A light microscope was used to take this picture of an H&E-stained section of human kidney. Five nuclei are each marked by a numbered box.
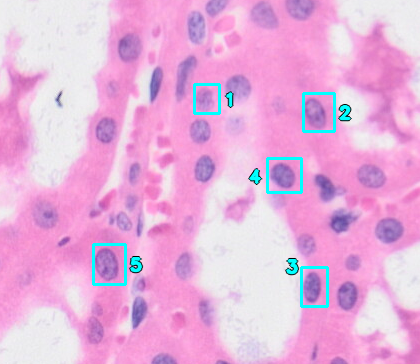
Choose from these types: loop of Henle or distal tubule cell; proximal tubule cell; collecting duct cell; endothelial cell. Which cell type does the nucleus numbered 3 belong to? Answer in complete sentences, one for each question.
The marked cell bearing number 3 is a loop of Henle or distal tubule cell.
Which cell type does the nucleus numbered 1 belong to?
The cell numbered 1 represents a loop of Henle or distal tubule cell.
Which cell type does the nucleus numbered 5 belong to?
The cell that is numbered 5 is a proximal tubule cell.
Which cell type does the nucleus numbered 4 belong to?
The cell numbered 4 represents a loop of Henle or distal tubule cell.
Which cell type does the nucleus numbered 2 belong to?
The cell that bears the number 2 is a proximal tubule cell.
